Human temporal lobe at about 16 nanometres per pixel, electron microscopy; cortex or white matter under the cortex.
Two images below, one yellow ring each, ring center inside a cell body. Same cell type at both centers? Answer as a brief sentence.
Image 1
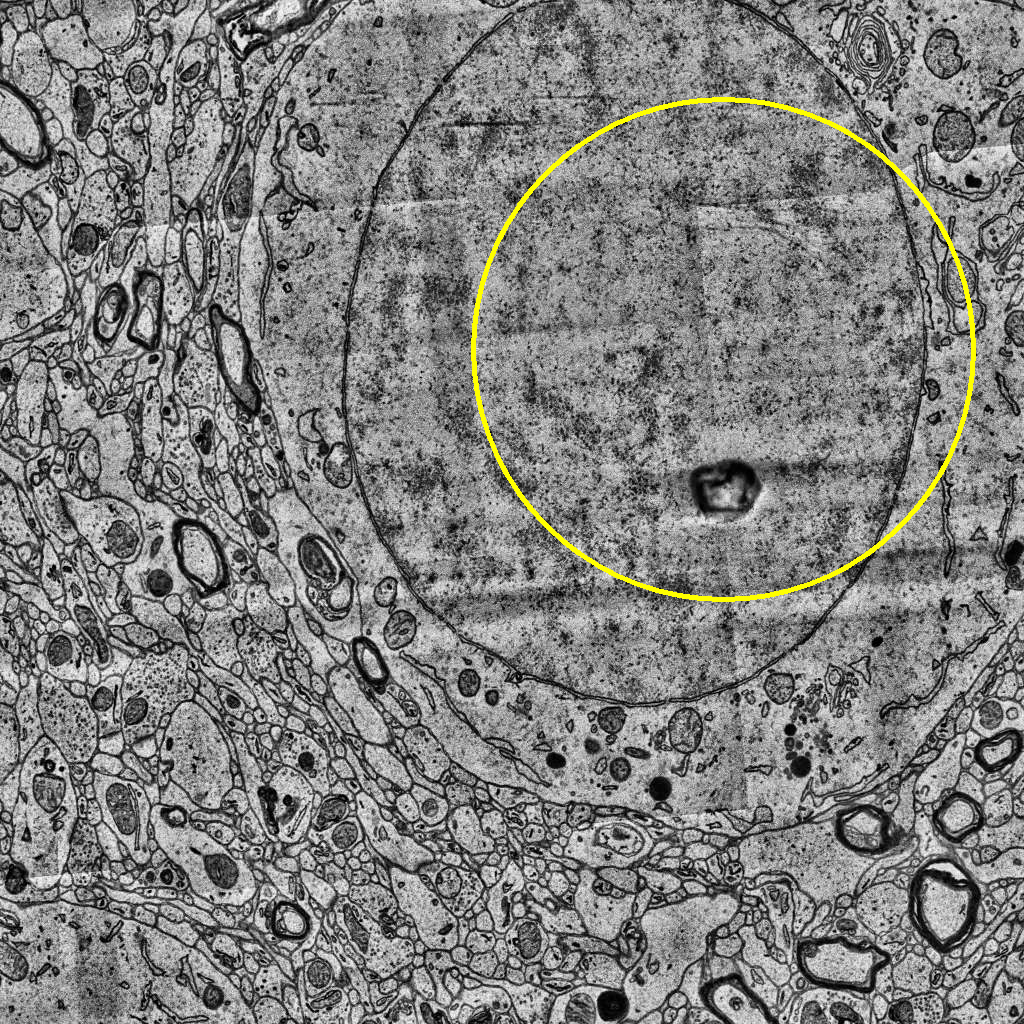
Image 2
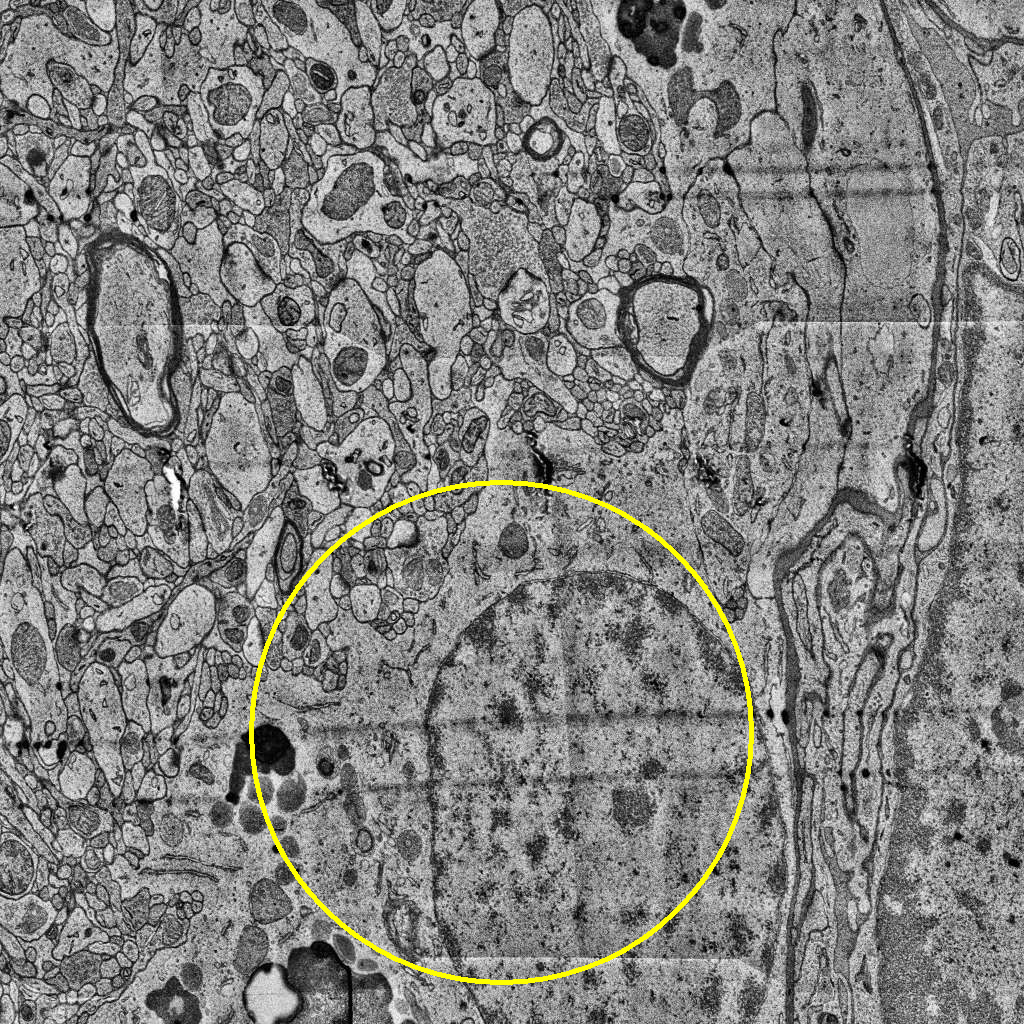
No, the cells are of two separate types.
